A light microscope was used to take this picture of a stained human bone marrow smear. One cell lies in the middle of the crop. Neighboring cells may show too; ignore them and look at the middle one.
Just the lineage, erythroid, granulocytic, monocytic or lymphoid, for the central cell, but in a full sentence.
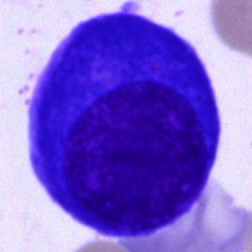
Assigned to the lymphoid lineage is the cell at the center.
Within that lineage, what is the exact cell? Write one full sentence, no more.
To answer, the cell in the center of the crop is a plasma cell.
